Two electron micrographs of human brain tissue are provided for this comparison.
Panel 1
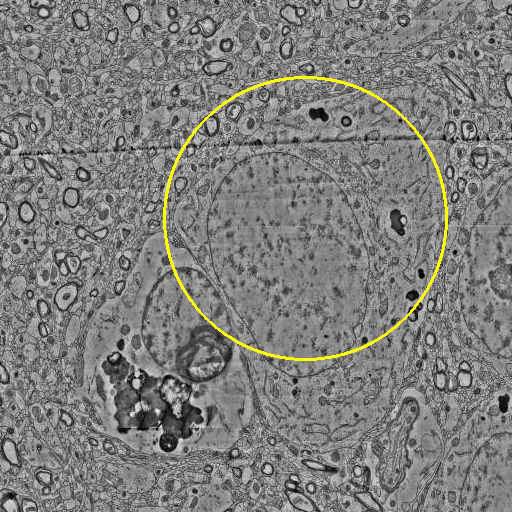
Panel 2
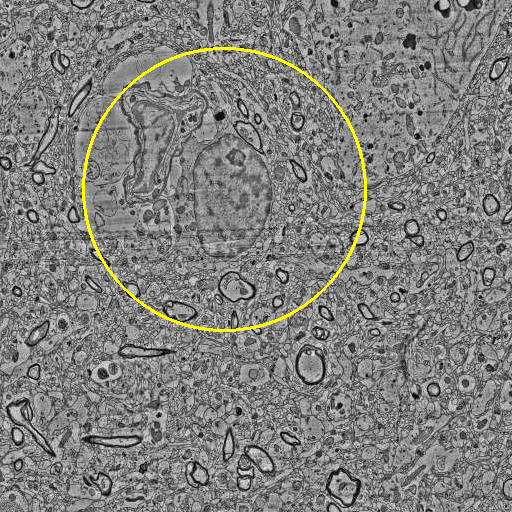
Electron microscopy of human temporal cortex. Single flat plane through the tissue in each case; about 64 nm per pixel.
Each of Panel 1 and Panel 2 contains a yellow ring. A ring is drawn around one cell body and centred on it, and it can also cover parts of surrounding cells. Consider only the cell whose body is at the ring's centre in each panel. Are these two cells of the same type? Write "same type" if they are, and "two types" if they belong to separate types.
two types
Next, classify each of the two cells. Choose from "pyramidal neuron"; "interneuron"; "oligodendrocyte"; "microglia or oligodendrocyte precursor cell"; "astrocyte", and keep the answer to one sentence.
In the first picture it is a pyramidal neuron; in the second it is an oligodendrocyte.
